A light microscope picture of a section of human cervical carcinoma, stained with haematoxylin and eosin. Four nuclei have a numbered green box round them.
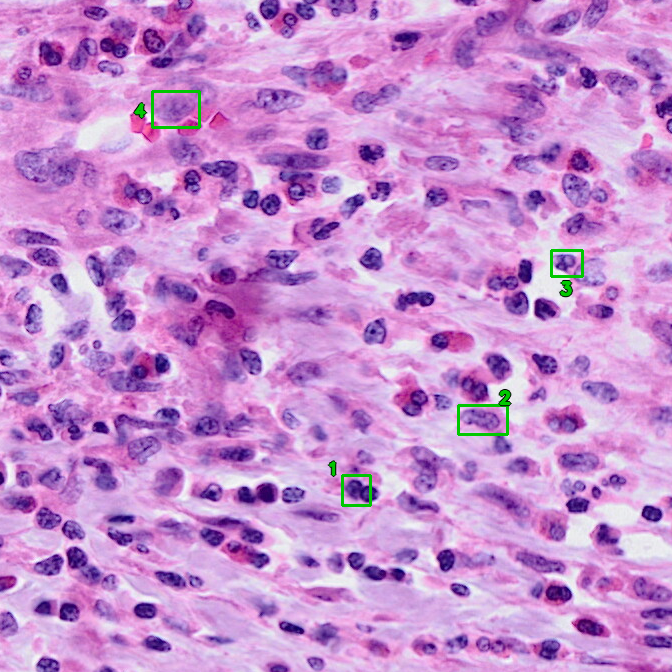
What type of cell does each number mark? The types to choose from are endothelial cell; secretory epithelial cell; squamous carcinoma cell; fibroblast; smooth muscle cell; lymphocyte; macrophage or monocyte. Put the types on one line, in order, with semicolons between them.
lymphocyte; macrophage or monocyte; lymphocyte; endothelial cell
